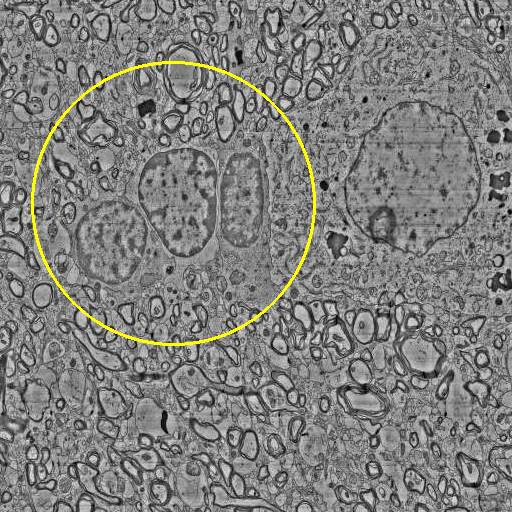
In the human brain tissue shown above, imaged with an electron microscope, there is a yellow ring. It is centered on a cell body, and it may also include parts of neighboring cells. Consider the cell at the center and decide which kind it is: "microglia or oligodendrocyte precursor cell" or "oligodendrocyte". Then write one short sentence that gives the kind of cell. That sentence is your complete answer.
This centered cell body is that of a microglial cell or oligodendrocyte precursor cell.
